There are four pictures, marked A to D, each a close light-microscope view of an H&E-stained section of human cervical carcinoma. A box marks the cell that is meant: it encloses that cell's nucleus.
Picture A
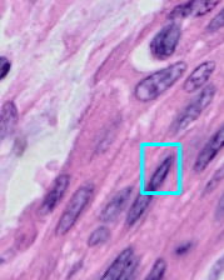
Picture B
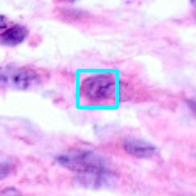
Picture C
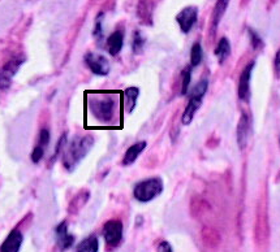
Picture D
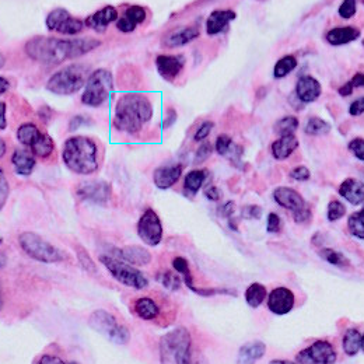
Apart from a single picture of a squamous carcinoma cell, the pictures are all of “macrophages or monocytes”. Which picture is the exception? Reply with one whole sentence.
Picture A is the one that shows the squamous carcinoma cell.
